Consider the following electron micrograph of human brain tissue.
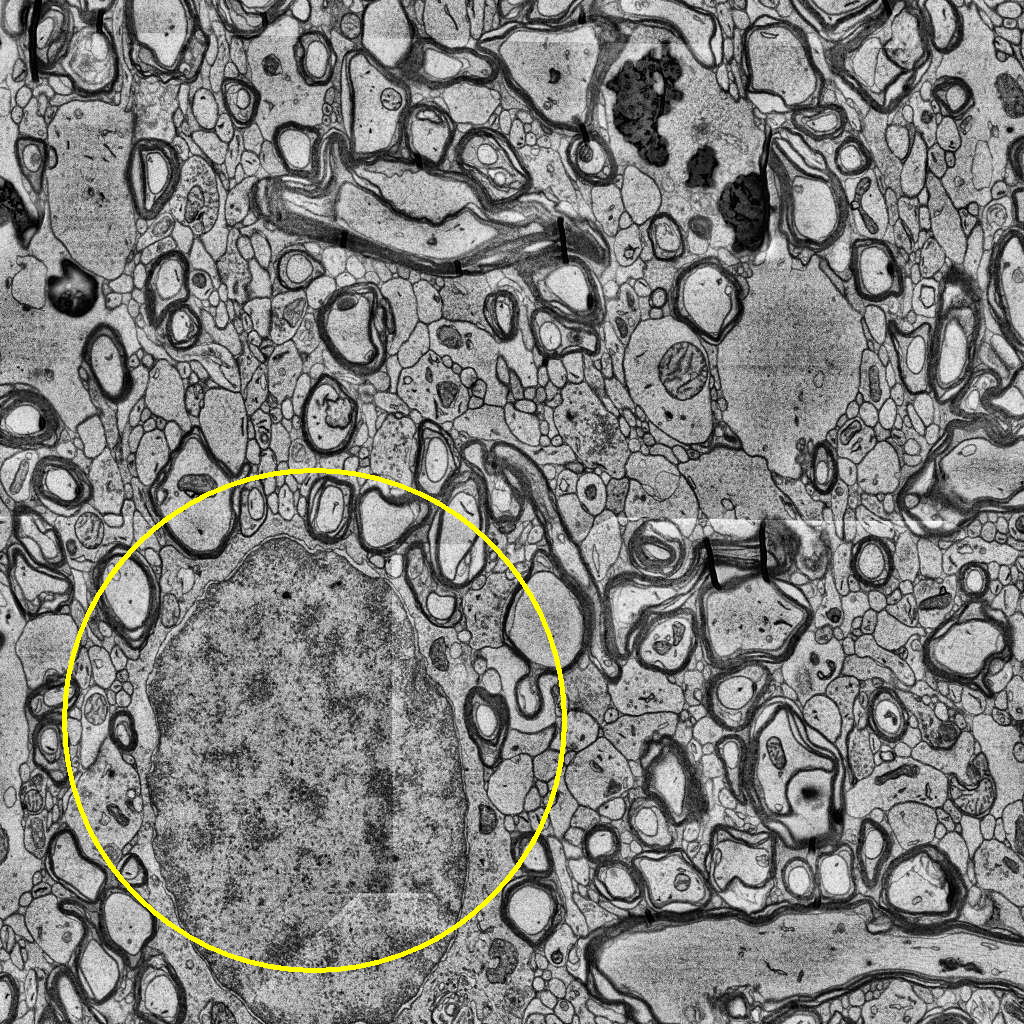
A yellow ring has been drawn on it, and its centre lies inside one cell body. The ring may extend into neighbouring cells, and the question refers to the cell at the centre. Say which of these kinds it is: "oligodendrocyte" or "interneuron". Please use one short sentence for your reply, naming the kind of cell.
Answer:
The centre of the ring falls on an oligodendrocyte.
